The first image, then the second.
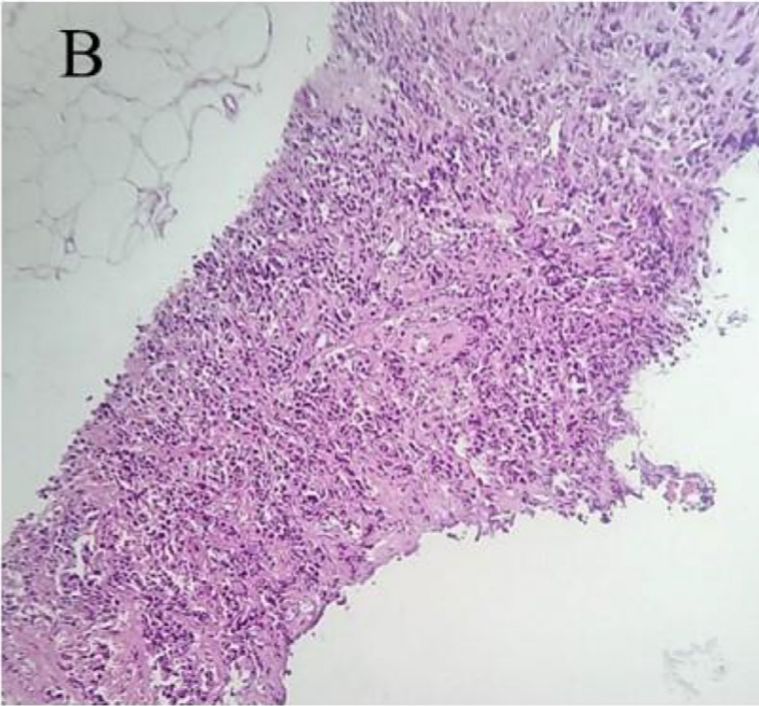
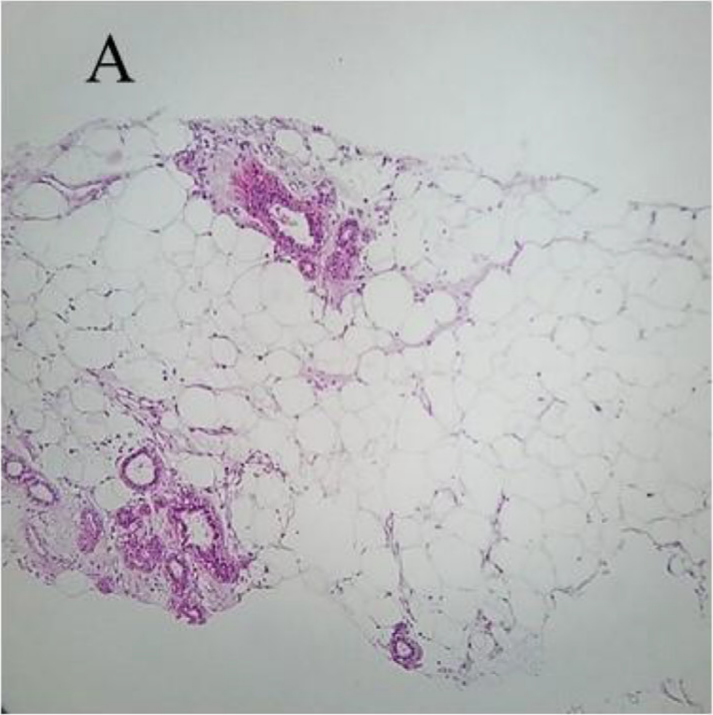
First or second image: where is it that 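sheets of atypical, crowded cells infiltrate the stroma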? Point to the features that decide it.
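First image: dense sheets and cords of dark, crowded, irregular nuclei fill the tissue. Second image: a few small, orderly ducts lie scattered in mostly fatty tissue.
Conclusion: the first image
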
